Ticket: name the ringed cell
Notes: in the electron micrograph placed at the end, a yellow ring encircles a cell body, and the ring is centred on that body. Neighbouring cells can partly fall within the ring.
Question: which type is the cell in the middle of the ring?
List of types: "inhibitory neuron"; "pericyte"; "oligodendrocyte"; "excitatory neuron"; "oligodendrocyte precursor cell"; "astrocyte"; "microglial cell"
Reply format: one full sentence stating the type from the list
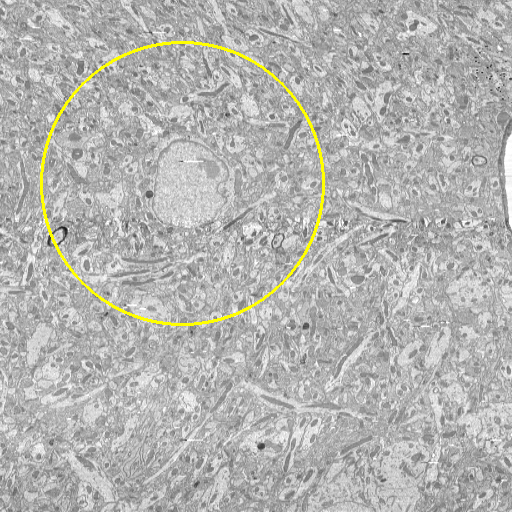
The cell sitting at the centre of the yellow ring is an oligodendrocyte precursor cell.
